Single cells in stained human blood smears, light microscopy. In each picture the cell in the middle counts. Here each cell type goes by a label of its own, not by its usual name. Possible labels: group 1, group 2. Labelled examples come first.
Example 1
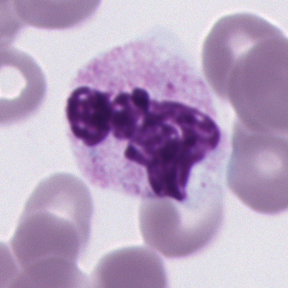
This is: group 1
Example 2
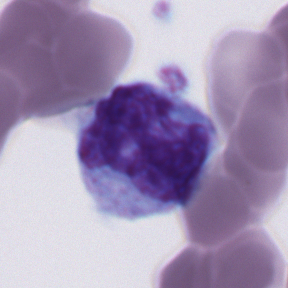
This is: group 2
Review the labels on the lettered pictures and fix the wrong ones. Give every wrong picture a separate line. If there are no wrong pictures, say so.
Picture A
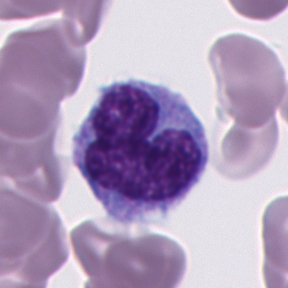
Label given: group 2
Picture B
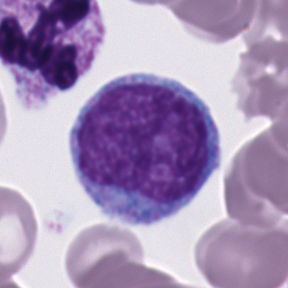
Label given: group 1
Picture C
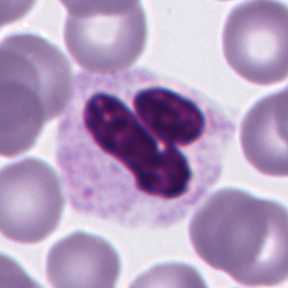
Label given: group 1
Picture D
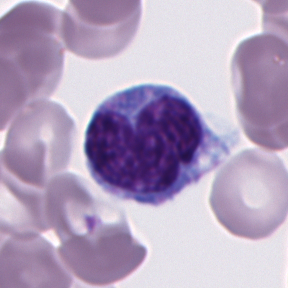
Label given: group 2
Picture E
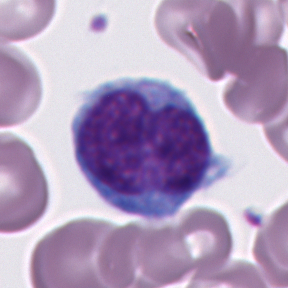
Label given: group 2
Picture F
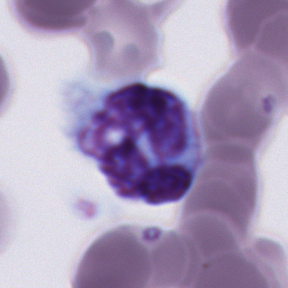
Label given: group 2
B: group 2, not group 1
